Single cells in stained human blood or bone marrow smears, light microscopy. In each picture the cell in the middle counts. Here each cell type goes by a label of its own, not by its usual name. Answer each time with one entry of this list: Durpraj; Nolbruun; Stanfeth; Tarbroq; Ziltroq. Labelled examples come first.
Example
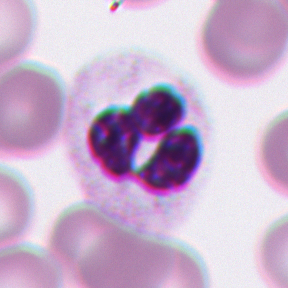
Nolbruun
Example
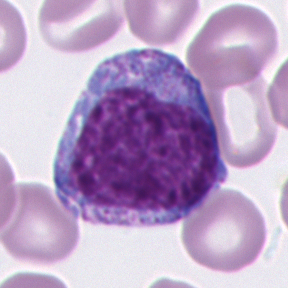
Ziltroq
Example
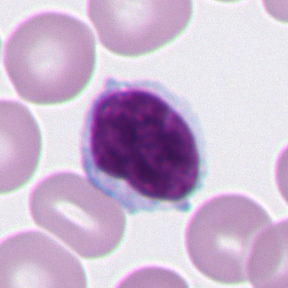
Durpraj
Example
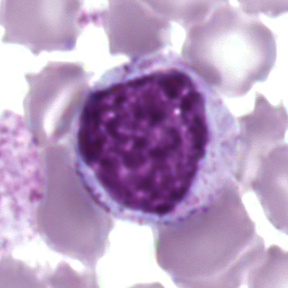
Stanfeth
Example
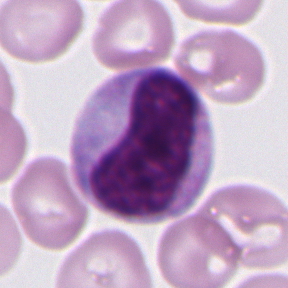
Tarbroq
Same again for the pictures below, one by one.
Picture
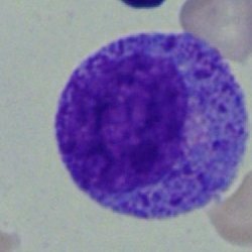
Ziltroq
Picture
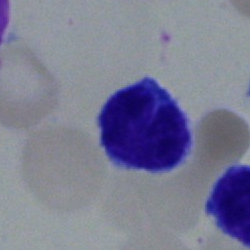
Durpraj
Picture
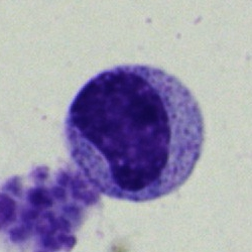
Tarbroq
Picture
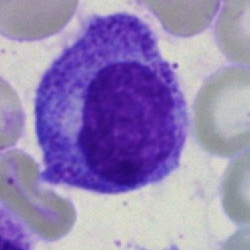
Stanfeth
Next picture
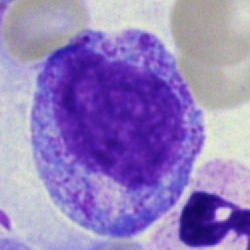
Stanfeth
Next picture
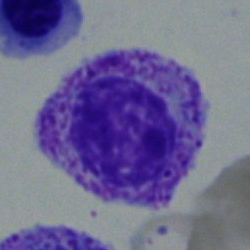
Stanfeth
